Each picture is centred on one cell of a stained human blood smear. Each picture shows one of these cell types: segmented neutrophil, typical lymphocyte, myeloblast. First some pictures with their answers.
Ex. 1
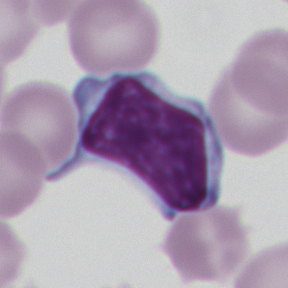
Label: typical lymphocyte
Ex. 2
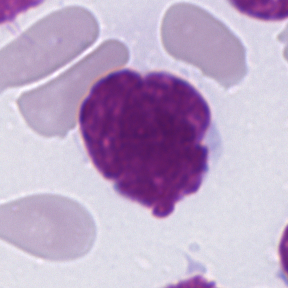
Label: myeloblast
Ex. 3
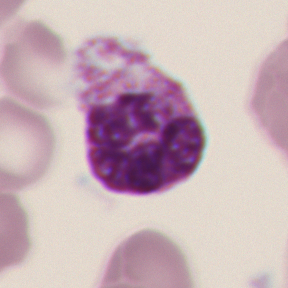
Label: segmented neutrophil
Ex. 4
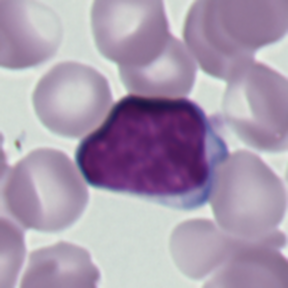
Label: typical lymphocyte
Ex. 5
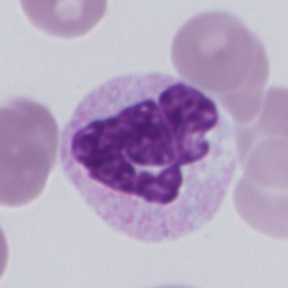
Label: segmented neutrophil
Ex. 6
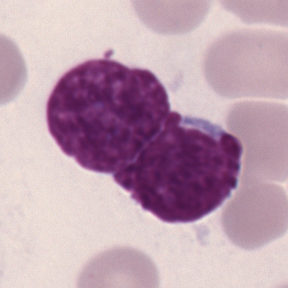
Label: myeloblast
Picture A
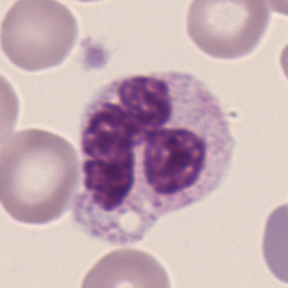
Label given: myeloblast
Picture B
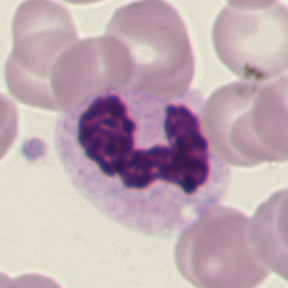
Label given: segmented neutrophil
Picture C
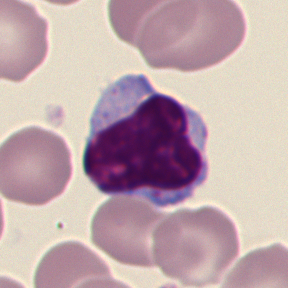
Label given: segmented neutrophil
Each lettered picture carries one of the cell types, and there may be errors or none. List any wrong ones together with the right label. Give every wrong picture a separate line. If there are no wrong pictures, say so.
Wrong: A (myeloblast); correct: segmented neutrophil
Wrong: C (segmented neutrophil); correct: typical lymphocyte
